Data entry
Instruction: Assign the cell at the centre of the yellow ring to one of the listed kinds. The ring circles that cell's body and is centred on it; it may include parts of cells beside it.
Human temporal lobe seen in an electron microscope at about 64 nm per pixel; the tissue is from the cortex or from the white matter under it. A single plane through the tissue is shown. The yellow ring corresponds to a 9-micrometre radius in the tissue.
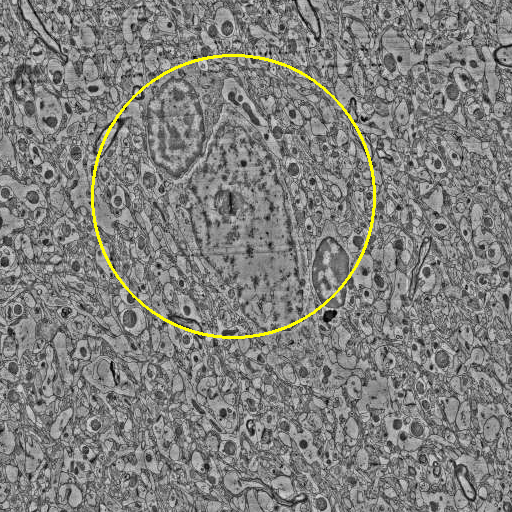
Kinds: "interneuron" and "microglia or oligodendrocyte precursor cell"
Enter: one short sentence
The centre of the ring falls on an interneuron.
